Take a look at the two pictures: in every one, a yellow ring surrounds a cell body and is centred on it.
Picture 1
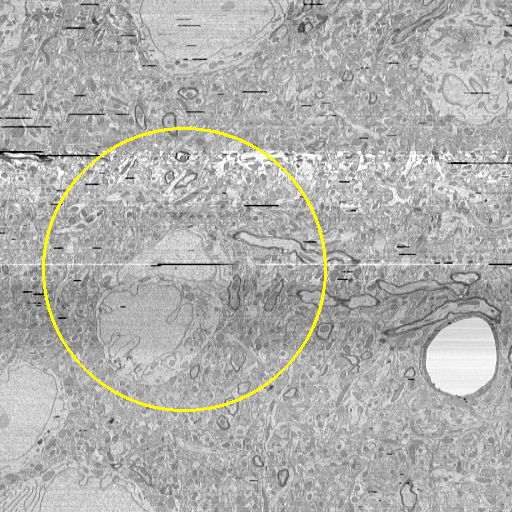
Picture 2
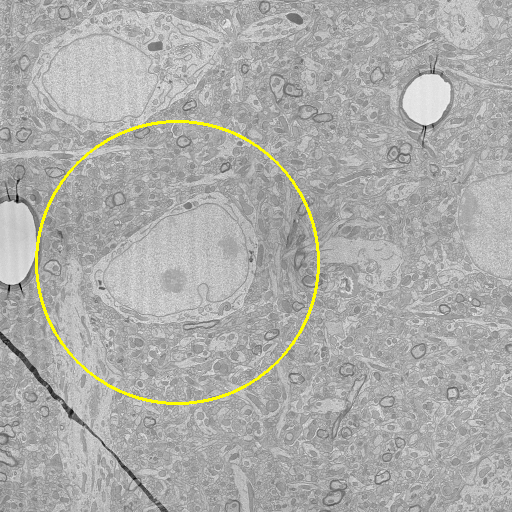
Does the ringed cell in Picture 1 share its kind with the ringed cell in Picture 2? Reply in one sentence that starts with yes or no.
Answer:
No, the two centred cells, one per picture, are of two kinds.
